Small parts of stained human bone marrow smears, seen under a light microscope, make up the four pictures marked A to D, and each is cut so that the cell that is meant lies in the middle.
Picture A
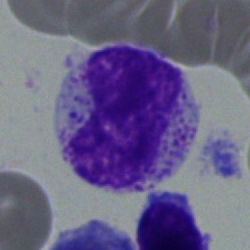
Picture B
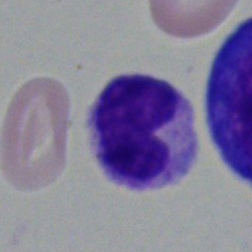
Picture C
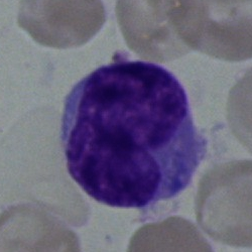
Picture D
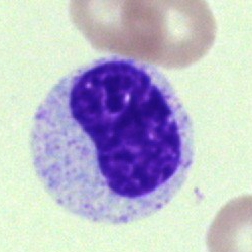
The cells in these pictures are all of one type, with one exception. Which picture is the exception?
C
